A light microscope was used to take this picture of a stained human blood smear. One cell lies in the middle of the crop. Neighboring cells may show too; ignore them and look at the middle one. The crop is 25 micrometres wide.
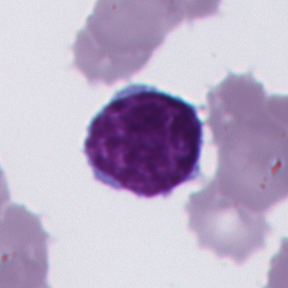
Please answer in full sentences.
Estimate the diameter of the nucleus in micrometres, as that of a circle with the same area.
It measures about 9 micrometres across.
